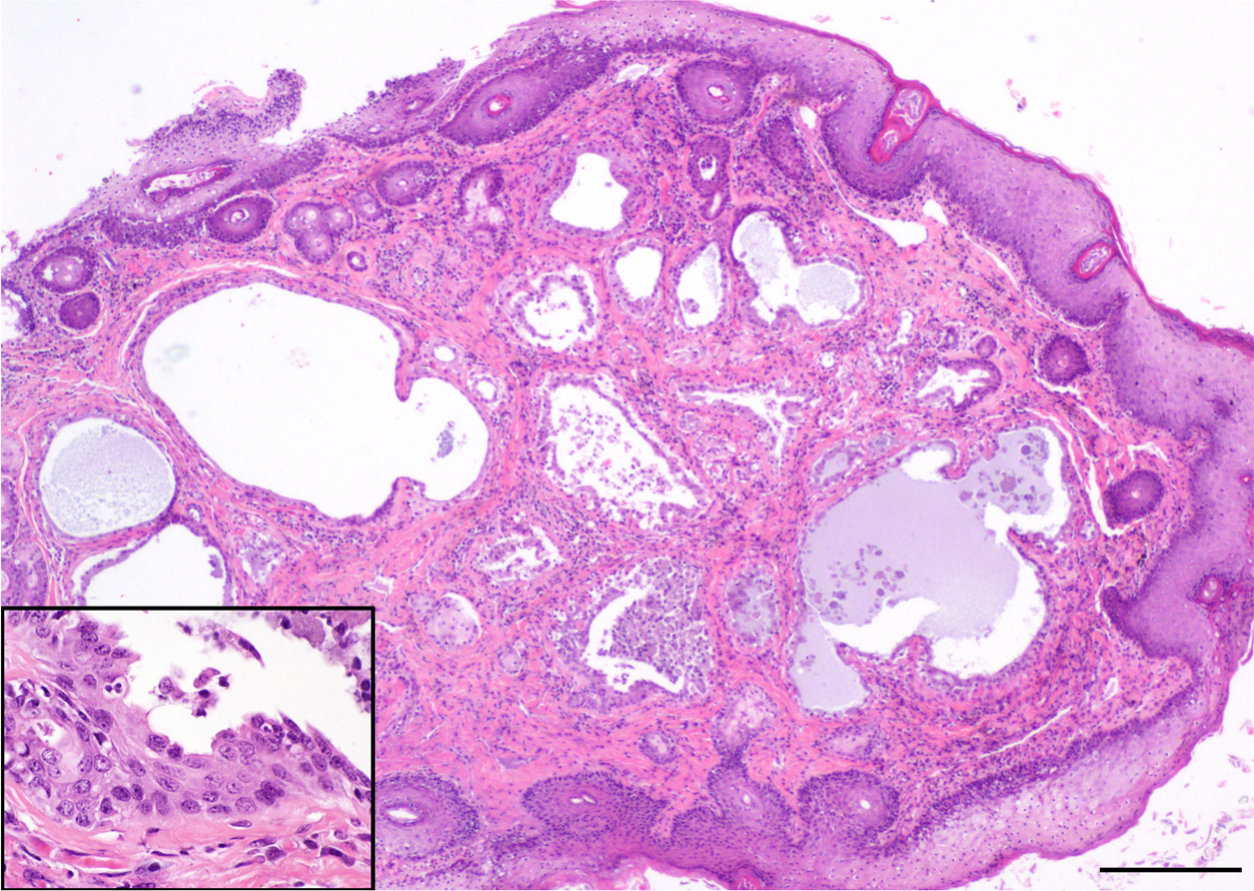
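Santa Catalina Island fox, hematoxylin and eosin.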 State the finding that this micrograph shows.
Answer: Ceruminous gland dysplasia.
